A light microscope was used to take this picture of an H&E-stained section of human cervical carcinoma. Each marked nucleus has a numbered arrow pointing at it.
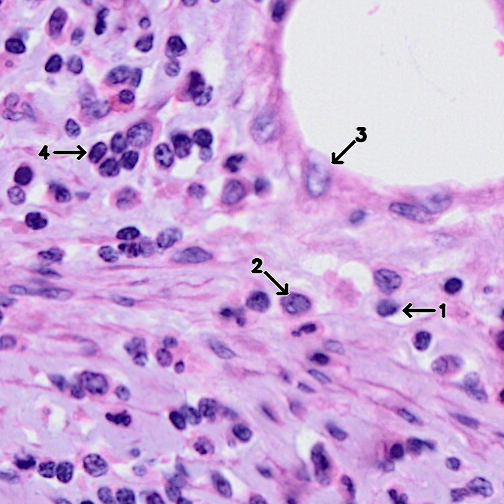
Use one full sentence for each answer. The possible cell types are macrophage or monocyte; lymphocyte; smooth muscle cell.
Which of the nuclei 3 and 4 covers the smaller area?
Nucleus 4 is the smaller one; nucleus 3 covers about 3 times its area.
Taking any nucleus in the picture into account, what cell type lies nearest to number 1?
The nucleus nearest to number 1 is that of a macrophage or monocyte.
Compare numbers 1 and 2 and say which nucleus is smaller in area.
Number 1 is smaller, since number 2 takes up about 1.5 times as much area.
